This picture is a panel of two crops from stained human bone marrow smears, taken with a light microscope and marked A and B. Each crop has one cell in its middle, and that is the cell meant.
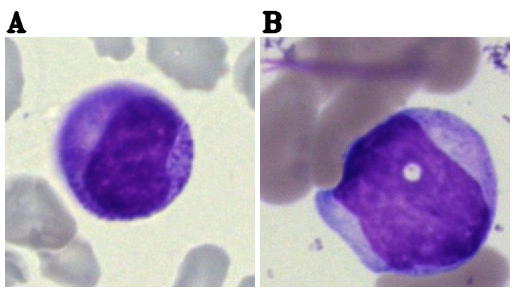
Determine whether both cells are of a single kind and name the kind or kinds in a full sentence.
No, in this case crop A shows a myelocyte, and crop B shows a blast.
